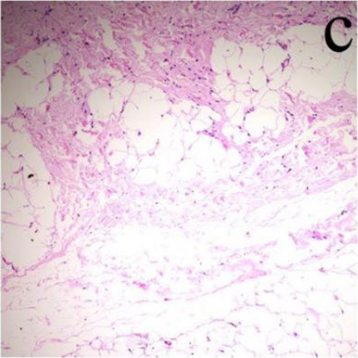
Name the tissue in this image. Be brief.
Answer: Adipose tissue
